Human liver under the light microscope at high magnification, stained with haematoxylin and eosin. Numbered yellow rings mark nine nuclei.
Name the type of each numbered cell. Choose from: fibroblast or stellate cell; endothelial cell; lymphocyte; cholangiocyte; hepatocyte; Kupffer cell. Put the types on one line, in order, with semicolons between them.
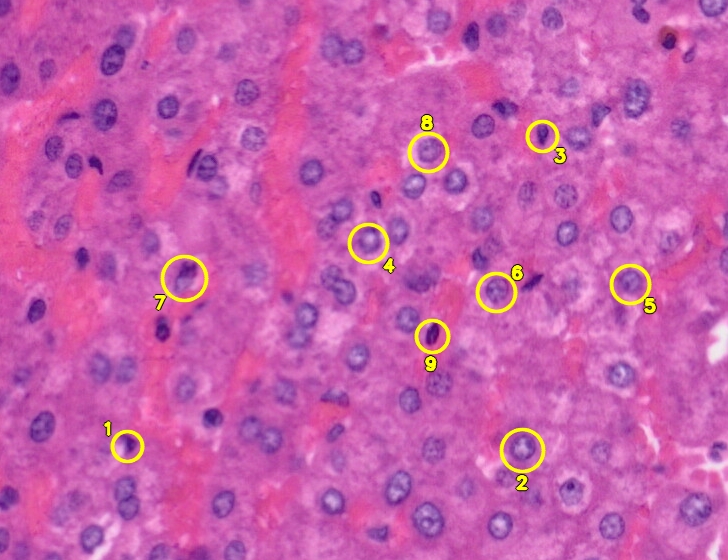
fibroblast or stellate cell; hepatocyte; fibroblast or stellate cell; hepatocyte; hepatocyte; hepatocyte; Kupffer cell; hepatocyte; lymphocyte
